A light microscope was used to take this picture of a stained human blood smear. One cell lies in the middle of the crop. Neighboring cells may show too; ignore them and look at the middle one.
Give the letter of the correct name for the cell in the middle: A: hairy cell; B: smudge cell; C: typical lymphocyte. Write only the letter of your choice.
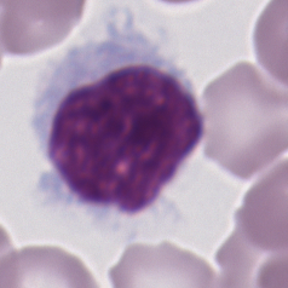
A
